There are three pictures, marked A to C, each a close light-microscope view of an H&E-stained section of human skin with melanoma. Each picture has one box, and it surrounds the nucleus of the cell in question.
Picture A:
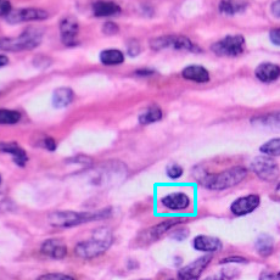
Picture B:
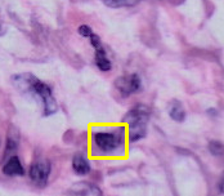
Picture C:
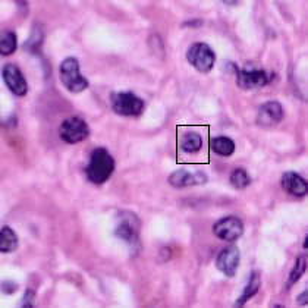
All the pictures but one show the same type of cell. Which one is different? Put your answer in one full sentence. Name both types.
Picture B differs, because its cell is a plasma cell and the rest are lymphocytes.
